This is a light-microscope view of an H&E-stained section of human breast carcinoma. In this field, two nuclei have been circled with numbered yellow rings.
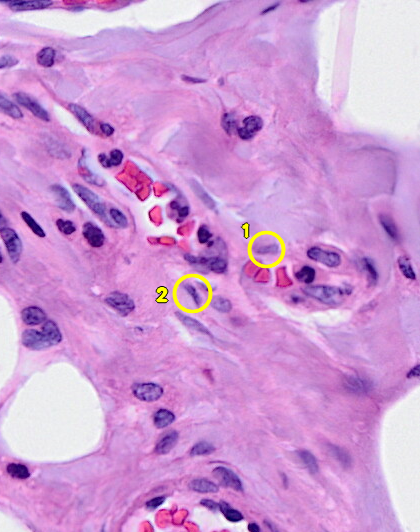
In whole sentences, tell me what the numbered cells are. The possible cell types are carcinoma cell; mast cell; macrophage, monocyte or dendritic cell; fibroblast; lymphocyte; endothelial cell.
Cell 1 is an endothelial cell. Cell 2 is a fibroblast.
